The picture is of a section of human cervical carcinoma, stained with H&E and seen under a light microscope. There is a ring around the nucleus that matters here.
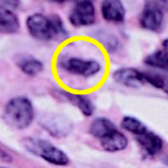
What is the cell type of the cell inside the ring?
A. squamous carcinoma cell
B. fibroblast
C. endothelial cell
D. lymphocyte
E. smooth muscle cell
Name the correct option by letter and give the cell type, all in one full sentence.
Of all the options, D is right, since the cell inside the ring is a lymphocyte.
